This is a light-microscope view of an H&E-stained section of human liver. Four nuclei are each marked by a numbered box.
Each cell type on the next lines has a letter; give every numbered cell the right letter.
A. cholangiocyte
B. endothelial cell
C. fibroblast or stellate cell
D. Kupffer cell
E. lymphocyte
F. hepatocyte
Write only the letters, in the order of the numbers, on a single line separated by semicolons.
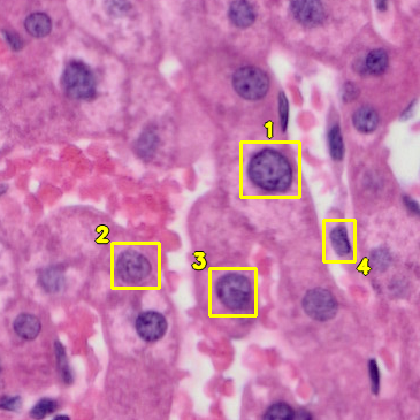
F; F; F; D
